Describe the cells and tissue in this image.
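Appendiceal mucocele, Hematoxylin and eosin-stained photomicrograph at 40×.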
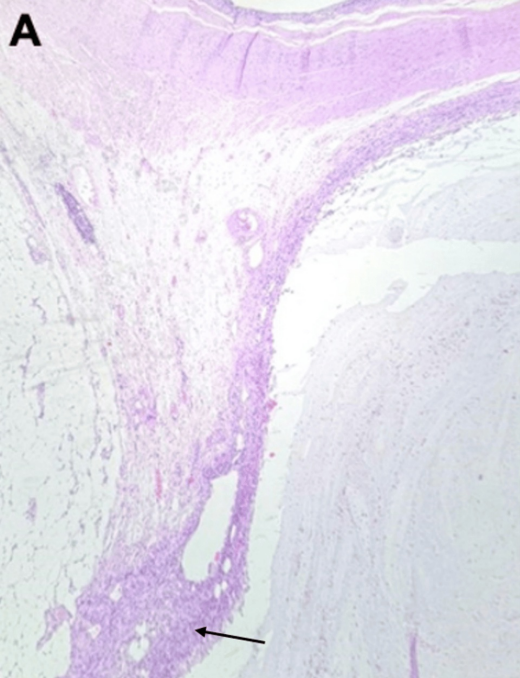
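A purple band of tissue runs down the field and bounds a large pale cavity, with a denser, gland-rich strip at its lower end. Paler, loose material fills much of the space on either side of the band.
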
